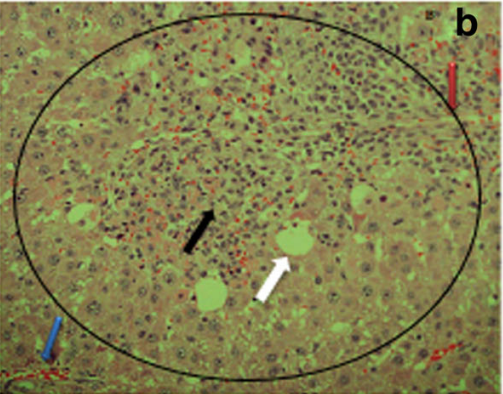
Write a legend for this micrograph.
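Damaged liver tissue in which hepatocytes are replaced over a large area by a dense crowd of small, dark, round nuclei of inflammatory cells. Within this area cell outlines cannot be followed and the cords of hepatocytes are lost. Pale, rounded, empty-looking spaces lie among the cells, and scattered red blood cells appear in the tissue. Toward the edges of the field, larger polygonal hepatocytes with pale pinkish cytoplasm and round nuclei remain, still arranged roughly in cords, so the contrast between the injured centre and the better-preserved periphery is clear.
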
